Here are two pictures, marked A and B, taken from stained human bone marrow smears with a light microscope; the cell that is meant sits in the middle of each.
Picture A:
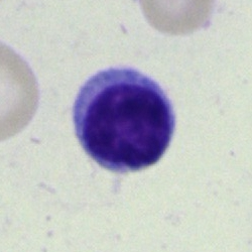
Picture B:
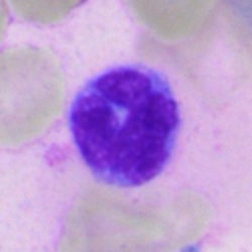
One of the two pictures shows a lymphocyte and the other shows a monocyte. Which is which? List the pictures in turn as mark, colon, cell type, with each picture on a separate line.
A: lymphocyte
B: monocyte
